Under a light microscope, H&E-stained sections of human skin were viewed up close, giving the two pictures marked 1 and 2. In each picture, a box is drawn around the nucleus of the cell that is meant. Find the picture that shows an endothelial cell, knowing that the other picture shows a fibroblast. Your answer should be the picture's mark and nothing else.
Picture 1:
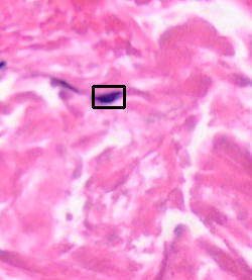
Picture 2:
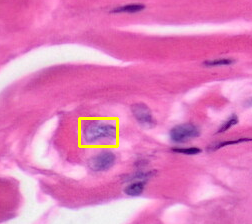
2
